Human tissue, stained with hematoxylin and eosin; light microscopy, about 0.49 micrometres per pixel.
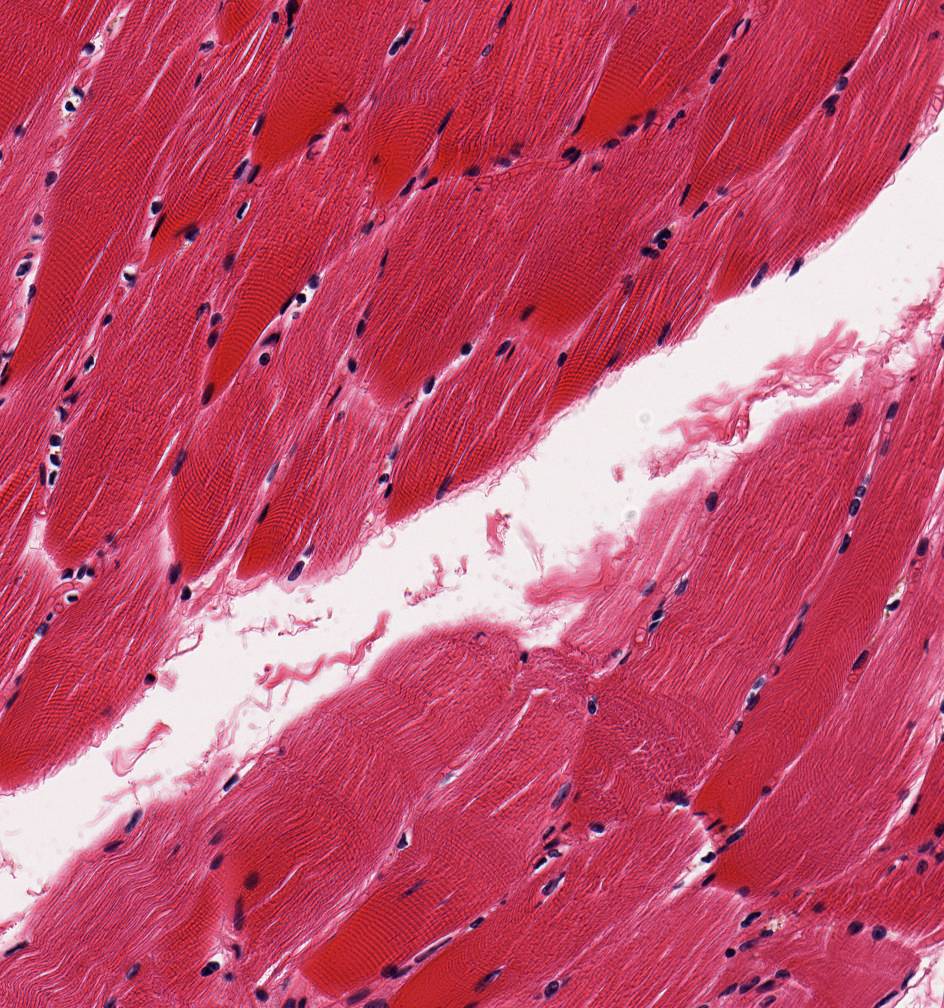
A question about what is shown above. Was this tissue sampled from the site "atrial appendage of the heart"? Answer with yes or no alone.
no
